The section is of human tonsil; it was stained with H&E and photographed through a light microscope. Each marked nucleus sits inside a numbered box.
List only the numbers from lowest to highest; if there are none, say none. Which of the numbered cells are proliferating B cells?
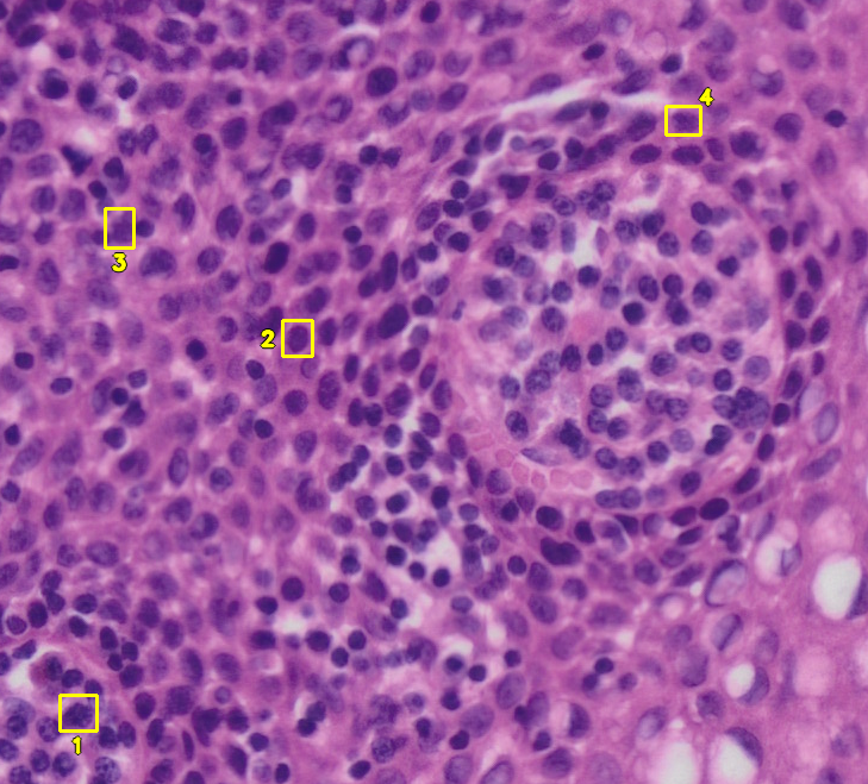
none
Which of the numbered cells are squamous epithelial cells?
2, 3, 4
